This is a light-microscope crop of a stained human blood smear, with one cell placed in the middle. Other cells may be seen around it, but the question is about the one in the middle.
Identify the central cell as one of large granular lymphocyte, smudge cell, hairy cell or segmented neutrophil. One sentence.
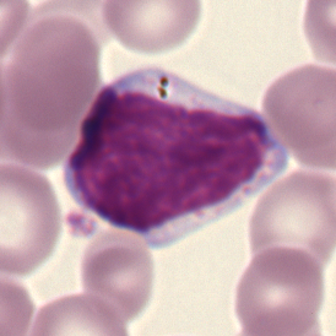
The cell of interest, in the center, is a large granular lymphocyte.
